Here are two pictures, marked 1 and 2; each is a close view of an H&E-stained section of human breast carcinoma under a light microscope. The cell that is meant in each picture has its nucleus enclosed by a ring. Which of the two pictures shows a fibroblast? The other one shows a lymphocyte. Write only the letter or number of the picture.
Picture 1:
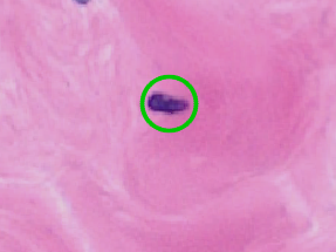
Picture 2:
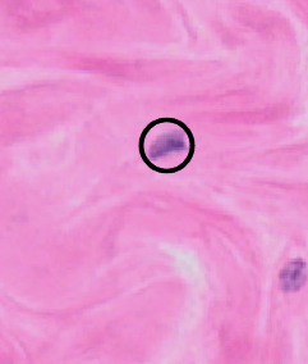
2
